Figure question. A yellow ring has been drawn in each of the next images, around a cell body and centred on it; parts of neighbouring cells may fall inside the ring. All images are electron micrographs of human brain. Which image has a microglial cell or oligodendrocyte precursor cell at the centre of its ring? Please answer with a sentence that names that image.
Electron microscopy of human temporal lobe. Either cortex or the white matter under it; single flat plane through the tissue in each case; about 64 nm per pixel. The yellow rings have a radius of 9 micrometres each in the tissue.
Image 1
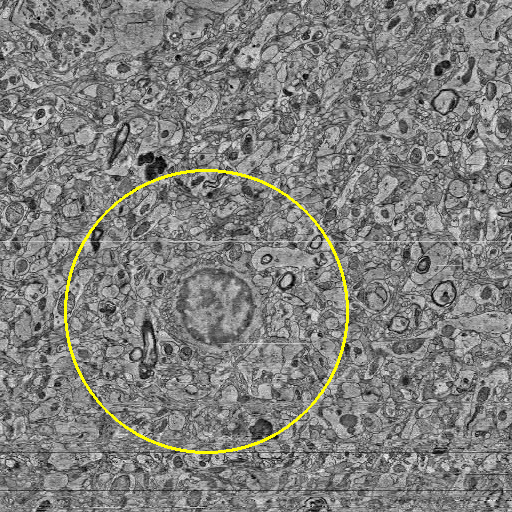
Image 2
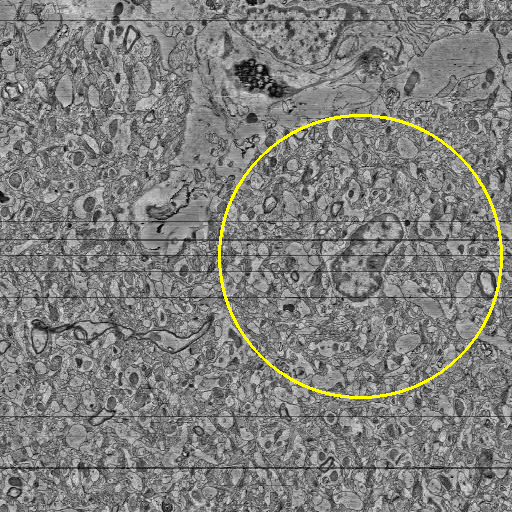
The cell at the centre of the ring in Image 2 is of that kind.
